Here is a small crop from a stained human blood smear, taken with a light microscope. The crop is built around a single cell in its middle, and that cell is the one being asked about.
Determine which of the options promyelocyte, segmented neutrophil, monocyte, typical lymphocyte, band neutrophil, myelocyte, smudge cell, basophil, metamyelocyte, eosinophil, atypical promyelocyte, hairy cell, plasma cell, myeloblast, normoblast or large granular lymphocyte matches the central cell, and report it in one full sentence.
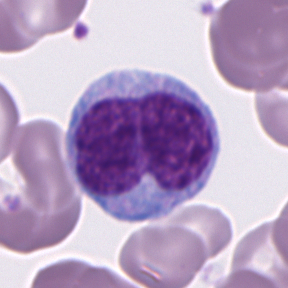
The centrally located cell in the crop is a monocyte.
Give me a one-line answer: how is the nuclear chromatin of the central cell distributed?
You can see that its chromatin is coarsely clumped.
